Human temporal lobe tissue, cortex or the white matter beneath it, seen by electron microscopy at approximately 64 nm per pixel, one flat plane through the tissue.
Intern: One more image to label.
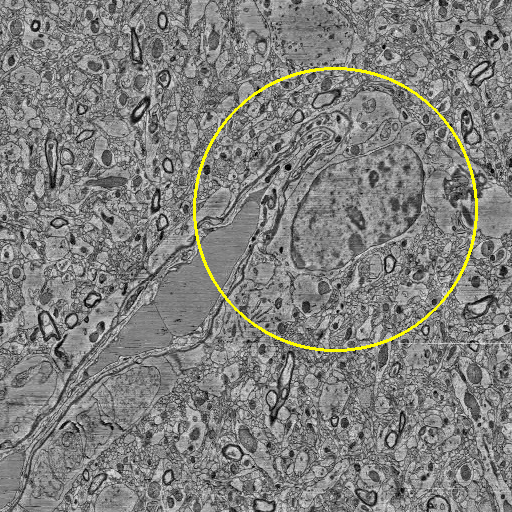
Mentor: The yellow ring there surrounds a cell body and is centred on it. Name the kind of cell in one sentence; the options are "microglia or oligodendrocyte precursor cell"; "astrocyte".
The ring marks the cell body of a microglial cell or oligodendrocyte precursor cell.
